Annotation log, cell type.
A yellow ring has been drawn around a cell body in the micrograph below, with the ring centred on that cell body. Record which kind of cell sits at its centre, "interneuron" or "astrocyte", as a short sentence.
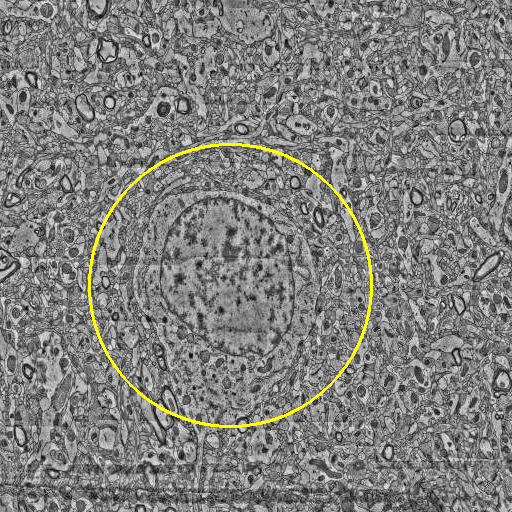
The cell at the centre of this ring is an interneuron.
